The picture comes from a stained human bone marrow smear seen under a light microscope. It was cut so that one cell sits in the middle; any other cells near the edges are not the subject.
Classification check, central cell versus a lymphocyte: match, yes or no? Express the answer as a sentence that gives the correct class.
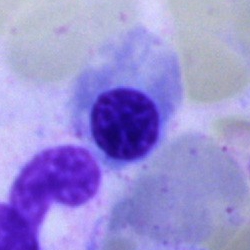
No, the central cell is not a lymphocyte; it is an erythroblast instead.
